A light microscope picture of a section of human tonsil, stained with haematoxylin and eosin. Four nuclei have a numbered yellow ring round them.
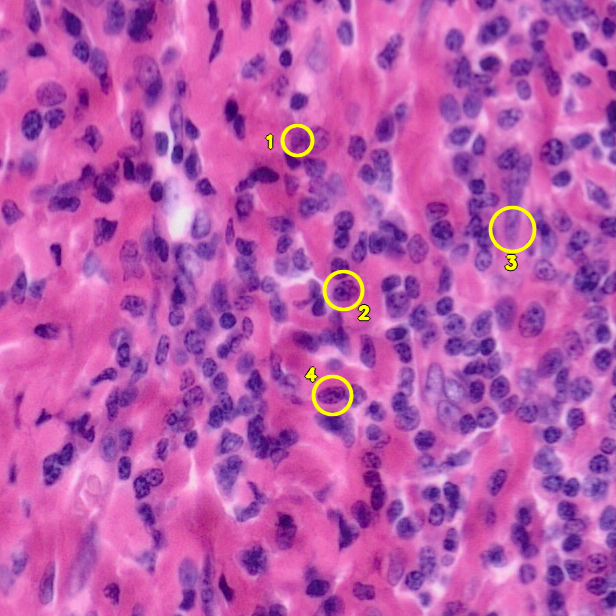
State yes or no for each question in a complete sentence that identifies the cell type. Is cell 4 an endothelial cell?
No, cell 4 is classified as a mast cell rather than an endothelial cell.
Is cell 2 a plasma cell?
Yes, cell number 2 in this section is a plasma cell.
